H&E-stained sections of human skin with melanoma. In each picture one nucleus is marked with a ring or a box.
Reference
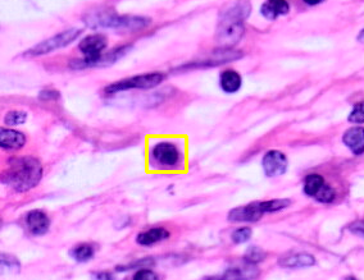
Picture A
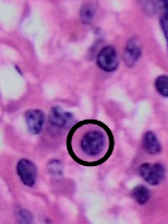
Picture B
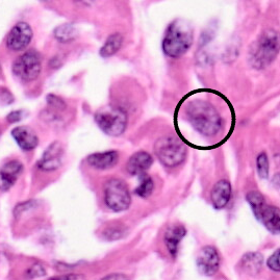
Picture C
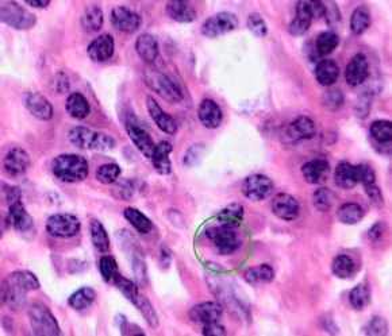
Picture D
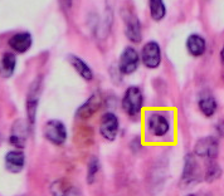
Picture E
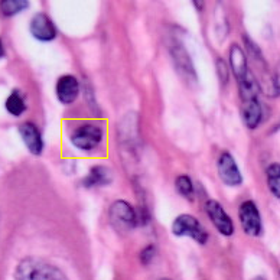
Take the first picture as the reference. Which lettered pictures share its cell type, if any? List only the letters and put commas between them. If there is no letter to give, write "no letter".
A, C, D, E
